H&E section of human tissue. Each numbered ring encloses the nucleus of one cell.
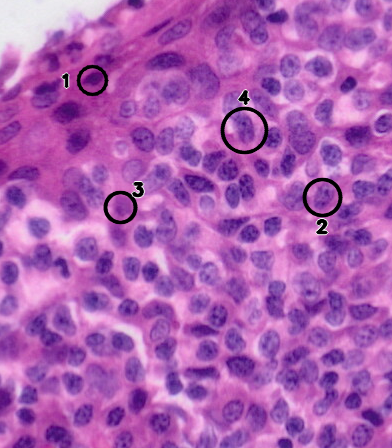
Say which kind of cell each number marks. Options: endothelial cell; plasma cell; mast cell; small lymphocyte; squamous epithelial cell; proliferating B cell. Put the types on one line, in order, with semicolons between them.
squamous epithelial cell; plasma cell; squamous epithelial cell; squamous epithelial cell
